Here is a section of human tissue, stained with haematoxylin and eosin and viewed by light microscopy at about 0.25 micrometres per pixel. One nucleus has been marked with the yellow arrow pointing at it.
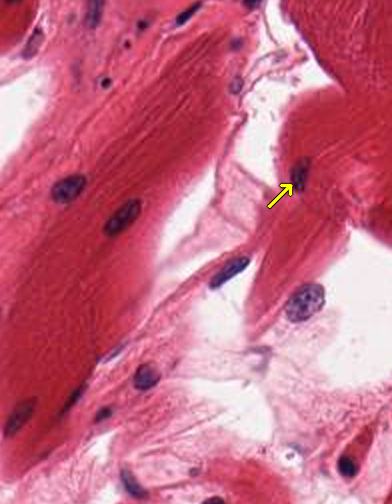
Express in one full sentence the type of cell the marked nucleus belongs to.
The marked nucleus is housed in a skeletal muscle fibre.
